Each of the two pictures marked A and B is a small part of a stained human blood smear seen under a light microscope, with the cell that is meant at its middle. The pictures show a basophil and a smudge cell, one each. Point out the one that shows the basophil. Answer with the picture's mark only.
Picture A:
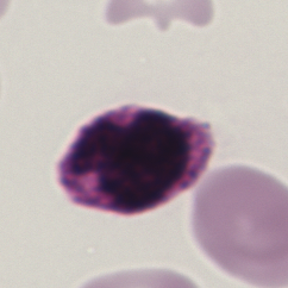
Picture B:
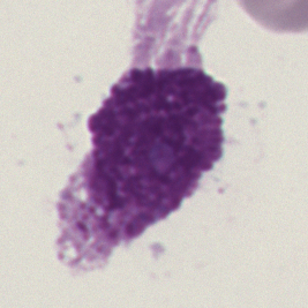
A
